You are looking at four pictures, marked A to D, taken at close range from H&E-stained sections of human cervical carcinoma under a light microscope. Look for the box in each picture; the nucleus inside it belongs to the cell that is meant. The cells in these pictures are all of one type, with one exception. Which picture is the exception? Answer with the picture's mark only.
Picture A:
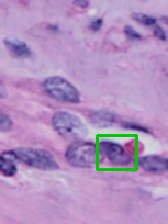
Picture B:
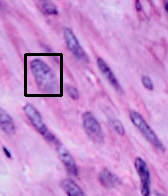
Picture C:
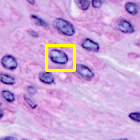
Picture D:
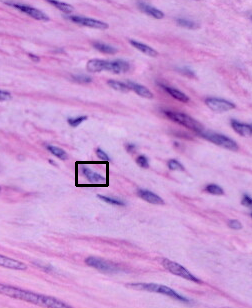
A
